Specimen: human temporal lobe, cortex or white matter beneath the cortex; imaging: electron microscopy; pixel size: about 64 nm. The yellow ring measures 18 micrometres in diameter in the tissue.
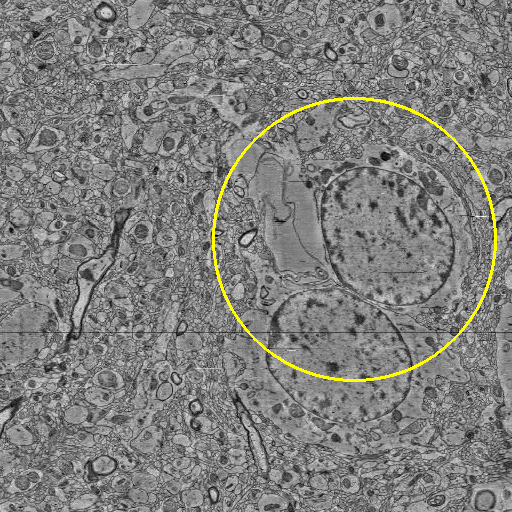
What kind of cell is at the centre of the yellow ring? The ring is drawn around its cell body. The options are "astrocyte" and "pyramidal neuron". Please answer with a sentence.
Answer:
The yellow ring marks the cell body of an astrocyte.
